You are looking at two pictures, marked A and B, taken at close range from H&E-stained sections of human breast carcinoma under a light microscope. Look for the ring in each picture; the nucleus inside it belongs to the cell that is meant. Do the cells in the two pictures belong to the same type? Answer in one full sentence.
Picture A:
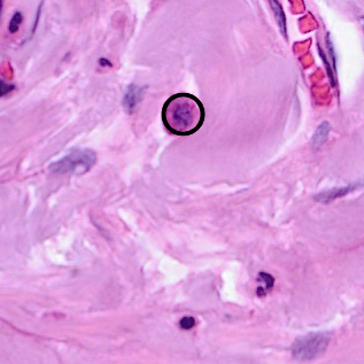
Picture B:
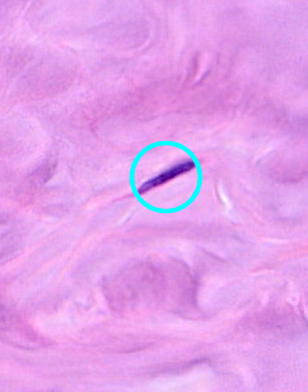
No, the types are not the same, since picture A shows a mast cell and picture B a fibroblast.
